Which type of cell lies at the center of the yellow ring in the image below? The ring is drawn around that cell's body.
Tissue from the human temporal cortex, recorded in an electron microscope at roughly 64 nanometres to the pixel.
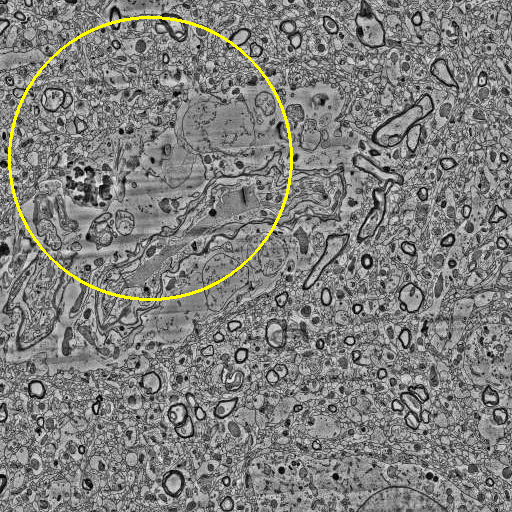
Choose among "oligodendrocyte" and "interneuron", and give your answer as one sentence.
The cell body at the center belongs to an oligodendrocyte.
